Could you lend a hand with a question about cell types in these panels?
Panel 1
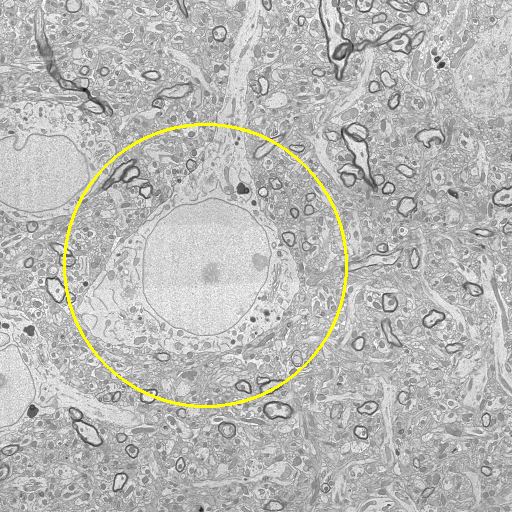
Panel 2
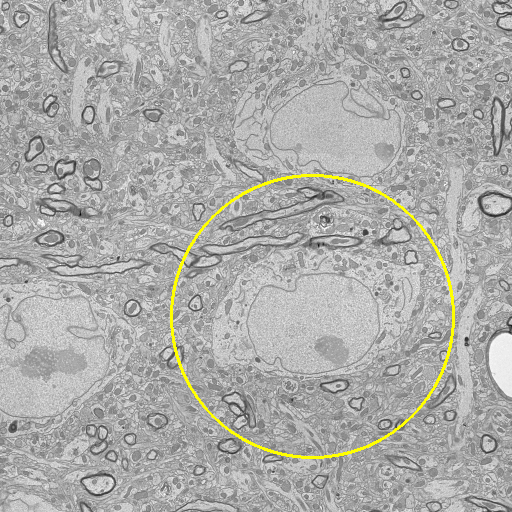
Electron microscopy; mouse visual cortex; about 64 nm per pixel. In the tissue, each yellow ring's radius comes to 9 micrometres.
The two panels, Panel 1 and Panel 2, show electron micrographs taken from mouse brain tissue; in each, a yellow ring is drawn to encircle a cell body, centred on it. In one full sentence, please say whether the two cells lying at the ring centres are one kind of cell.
Yes, the cells at the ring centres in the two panels are one kind of cell.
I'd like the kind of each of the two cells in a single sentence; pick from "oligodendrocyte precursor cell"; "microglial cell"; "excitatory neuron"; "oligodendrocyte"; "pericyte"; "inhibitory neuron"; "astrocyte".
In each picture the ringed cell is an excitatory neuron.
